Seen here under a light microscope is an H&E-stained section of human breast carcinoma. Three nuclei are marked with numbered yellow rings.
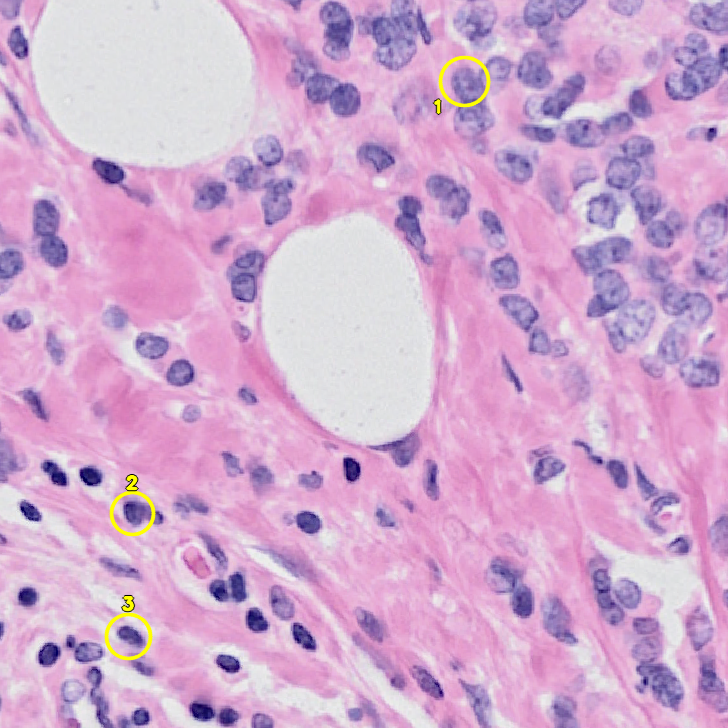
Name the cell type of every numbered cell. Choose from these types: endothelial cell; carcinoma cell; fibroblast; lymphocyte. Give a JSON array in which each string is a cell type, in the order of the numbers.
["carcinoma cell", "lymphocyte", "lymphocyte"]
